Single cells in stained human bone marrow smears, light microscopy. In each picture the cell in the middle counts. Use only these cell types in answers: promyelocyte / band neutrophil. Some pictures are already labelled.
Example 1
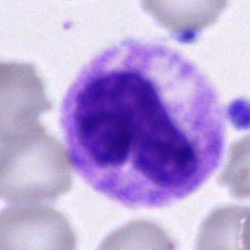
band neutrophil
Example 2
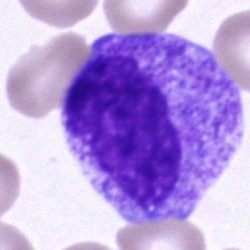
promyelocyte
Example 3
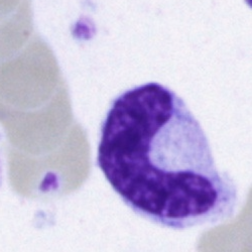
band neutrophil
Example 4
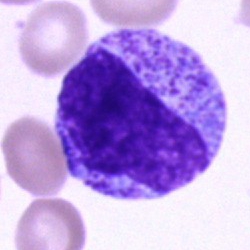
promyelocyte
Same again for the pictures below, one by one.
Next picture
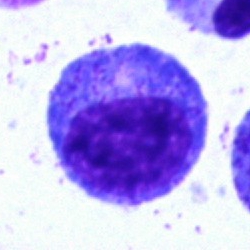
promyelocyte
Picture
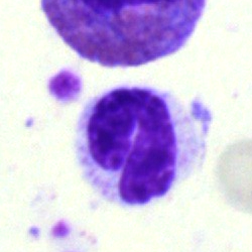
band neutrophil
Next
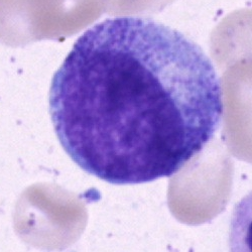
promyelocyte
